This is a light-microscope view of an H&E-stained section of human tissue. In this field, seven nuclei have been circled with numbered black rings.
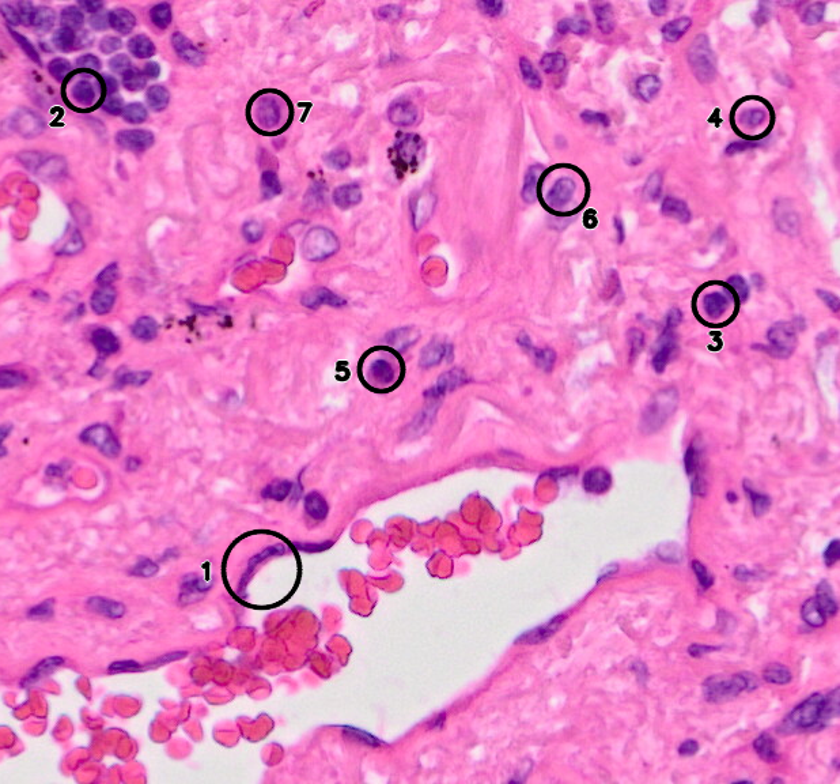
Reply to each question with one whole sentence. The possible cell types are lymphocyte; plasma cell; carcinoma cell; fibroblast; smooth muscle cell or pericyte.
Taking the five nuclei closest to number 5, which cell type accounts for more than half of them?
Most of the five nuclei nearest to number 5 are those of fibroblasts.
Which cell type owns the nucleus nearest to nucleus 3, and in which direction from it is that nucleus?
A lymphocyte lies closest, above and to the right of nucleus 3.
